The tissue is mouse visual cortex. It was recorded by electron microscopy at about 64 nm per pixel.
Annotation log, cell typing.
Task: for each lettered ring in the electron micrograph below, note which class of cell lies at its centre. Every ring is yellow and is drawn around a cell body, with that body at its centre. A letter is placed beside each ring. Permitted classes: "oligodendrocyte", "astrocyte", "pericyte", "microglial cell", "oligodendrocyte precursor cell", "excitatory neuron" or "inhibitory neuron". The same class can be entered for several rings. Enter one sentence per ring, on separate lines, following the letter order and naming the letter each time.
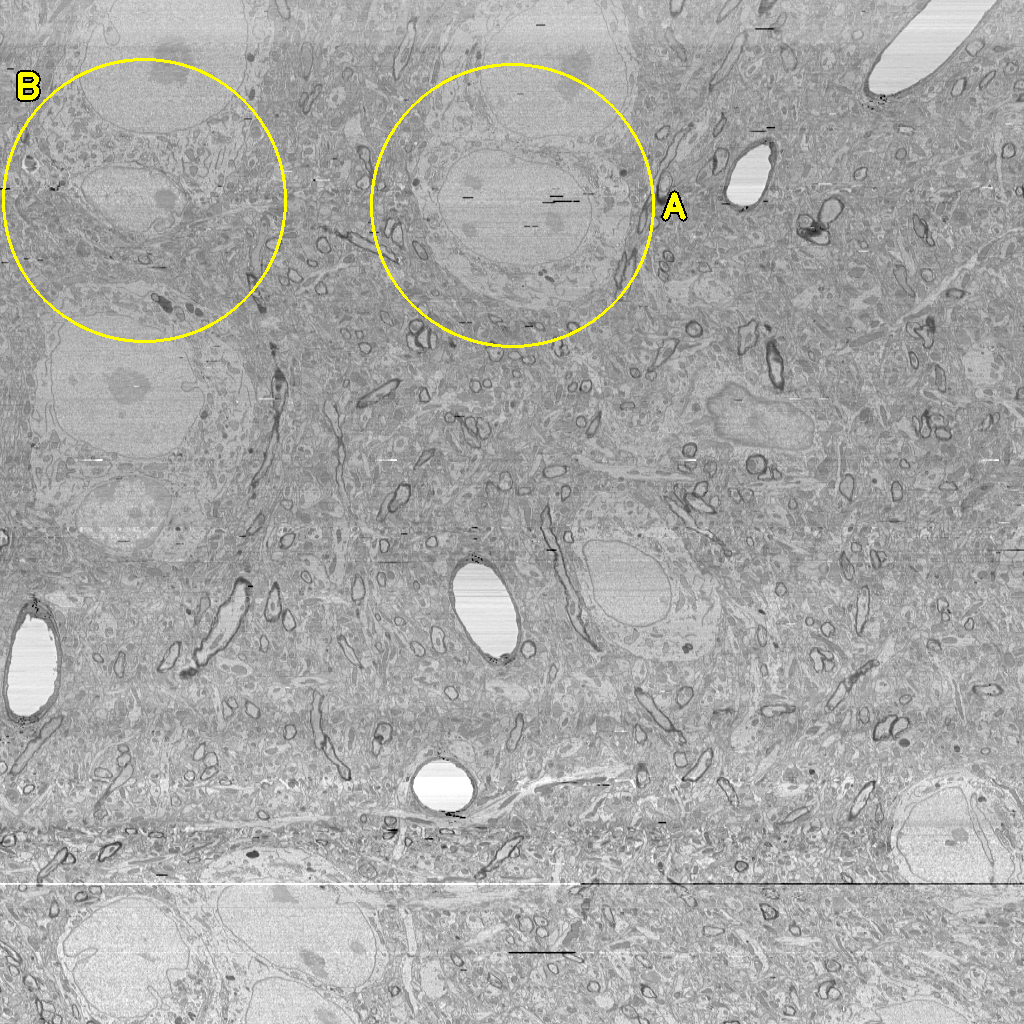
The cell at the centre of ring A is an excitatory neuron.
The cell at the centre of ring B is an astrocyte.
